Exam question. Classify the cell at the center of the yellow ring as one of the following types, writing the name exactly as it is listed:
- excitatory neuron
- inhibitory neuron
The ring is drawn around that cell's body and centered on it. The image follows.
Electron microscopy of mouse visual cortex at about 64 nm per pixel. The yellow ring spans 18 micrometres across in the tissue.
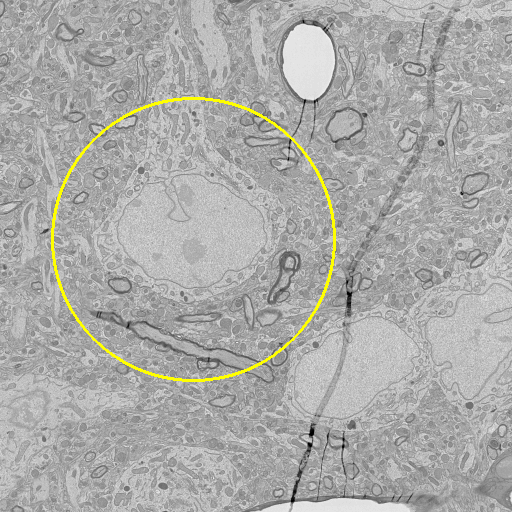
inhibitory neuron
